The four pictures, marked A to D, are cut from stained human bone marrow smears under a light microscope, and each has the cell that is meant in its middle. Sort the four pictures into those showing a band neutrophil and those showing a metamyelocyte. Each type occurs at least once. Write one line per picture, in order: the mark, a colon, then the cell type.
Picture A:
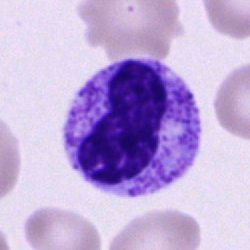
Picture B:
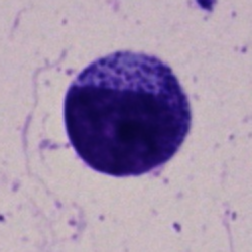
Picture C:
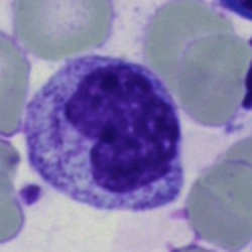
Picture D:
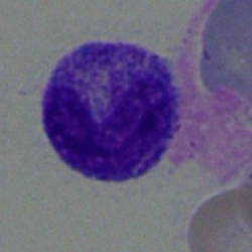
A: band neutrophil
B: metamyelocyte
C: metamyelocyte
D: band neutrophil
